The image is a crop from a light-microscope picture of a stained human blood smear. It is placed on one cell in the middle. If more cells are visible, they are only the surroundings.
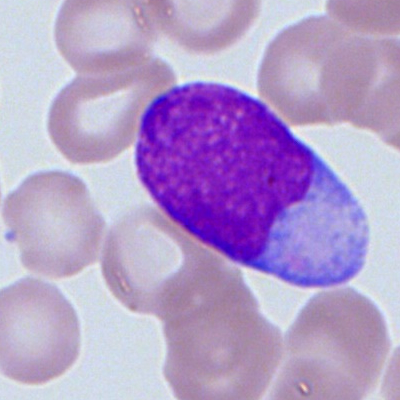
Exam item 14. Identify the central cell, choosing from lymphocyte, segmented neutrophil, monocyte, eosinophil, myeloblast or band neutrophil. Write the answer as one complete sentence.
The cell at the centre of the field is a myeloblast.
